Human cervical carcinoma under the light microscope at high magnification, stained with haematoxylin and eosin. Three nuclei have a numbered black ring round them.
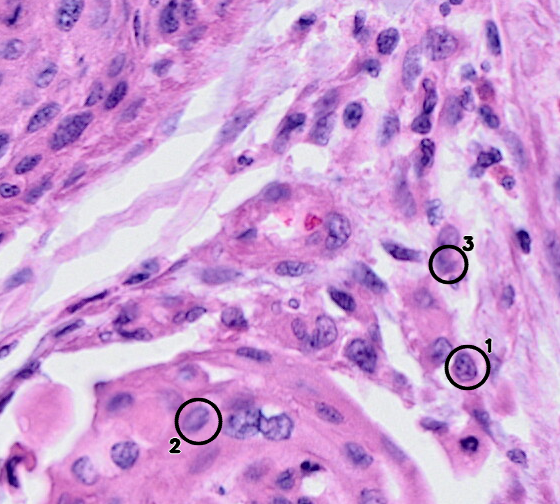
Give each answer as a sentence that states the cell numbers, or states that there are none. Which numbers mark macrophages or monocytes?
The cells numbered 1 and 3 are of the kind known as macrophages or monocytes.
